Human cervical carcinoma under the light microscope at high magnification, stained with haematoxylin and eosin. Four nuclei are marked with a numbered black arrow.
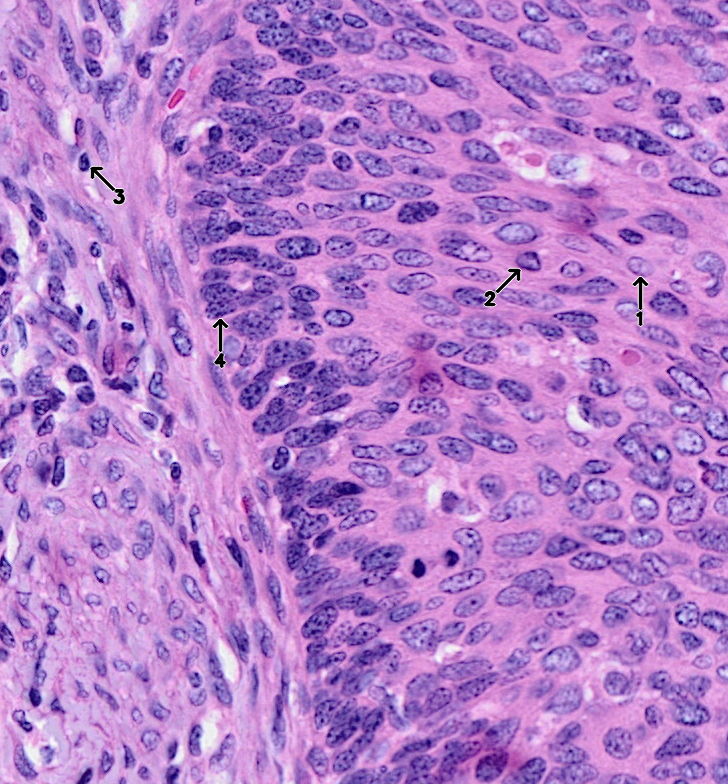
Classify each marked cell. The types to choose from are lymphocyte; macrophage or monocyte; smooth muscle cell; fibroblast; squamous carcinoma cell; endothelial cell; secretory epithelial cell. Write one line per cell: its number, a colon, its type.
1: squamous carcinoma cell
2: squamous carcinoma cell
3: lymphocyte
4: squamous carcinoma cell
